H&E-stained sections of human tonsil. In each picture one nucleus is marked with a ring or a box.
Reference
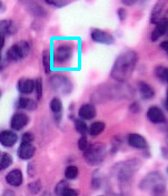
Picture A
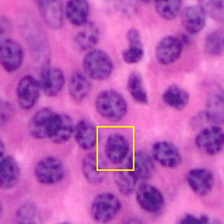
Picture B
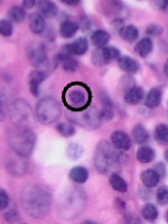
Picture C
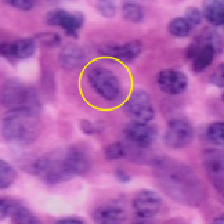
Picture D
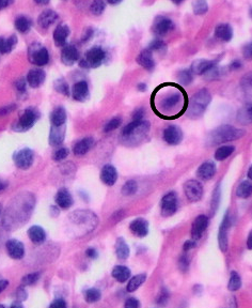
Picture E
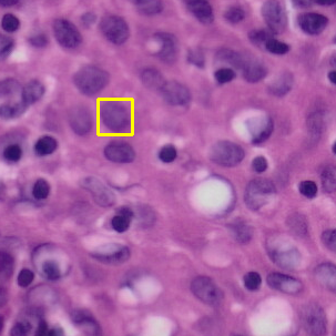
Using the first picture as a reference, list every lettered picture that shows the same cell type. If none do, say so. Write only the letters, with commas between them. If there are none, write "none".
B, D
